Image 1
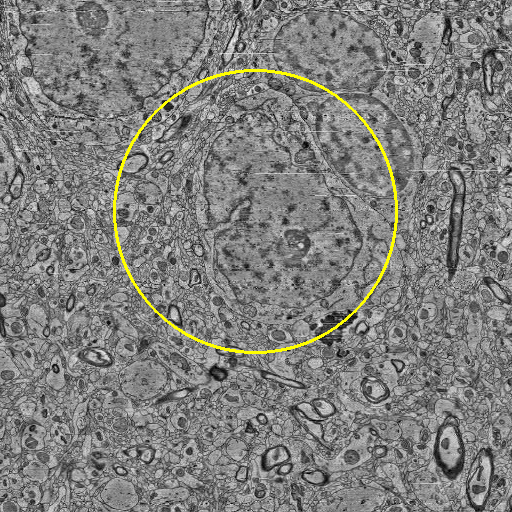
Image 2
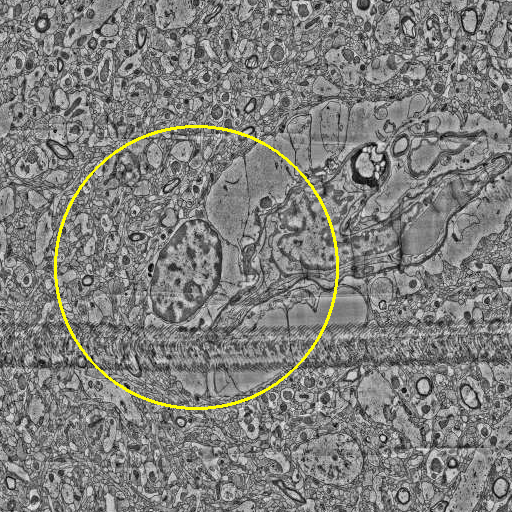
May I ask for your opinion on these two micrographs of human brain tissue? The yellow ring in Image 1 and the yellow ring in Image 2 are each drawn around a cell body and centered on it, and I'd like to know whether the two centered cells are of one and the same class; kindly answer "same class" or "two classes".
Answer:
two classes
